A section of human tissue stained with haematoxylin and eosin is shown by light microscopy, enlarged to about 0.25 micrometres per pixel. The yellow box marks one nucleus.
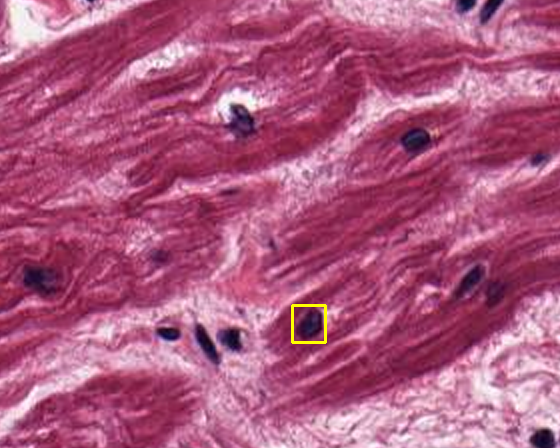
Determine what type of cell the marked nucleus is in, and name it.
cardiomyocyte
